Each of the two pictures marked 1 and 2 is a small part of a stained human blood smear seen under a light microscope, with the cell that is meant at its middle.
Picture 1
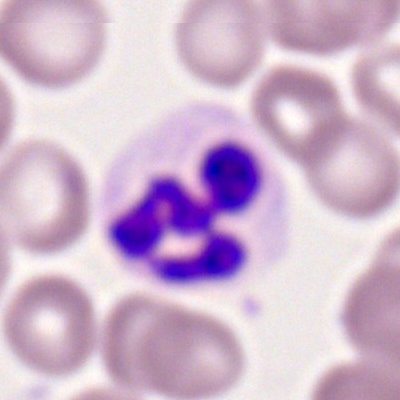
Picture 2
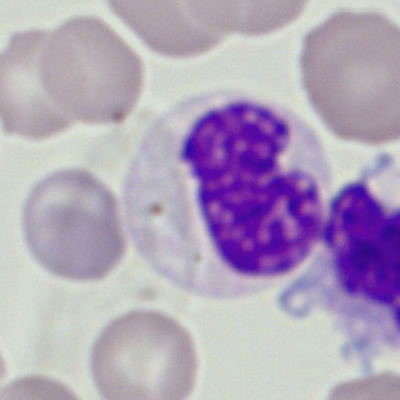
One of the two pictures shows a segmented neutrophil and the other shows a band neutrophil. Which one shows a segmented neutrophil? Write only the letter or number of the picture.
1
